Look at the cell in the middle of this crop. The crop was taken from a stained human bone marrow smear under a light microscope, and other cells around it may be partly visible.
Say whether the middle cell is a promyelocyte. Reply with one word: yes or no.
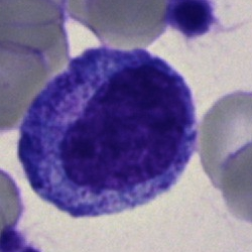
yes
